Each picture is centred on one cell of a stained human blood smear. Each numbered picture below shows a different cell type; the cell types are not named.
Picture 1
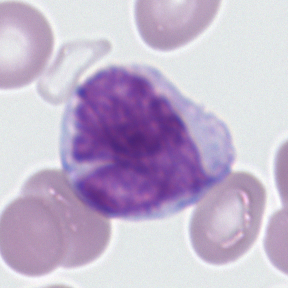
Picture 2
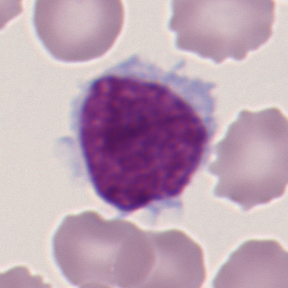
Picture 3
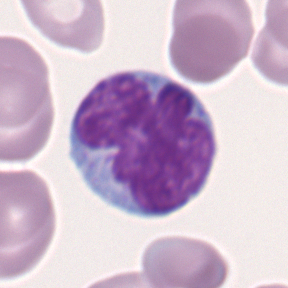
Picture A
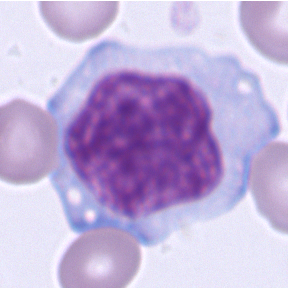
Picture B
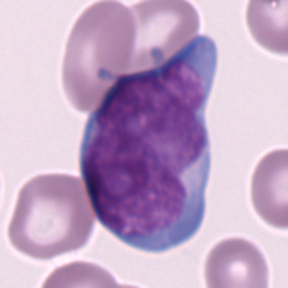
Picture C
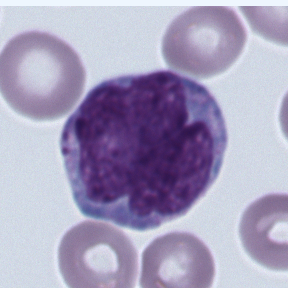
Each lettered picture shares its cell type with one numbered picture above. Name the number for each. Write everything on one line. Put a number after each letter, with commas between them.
A 3, B 3, C 1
